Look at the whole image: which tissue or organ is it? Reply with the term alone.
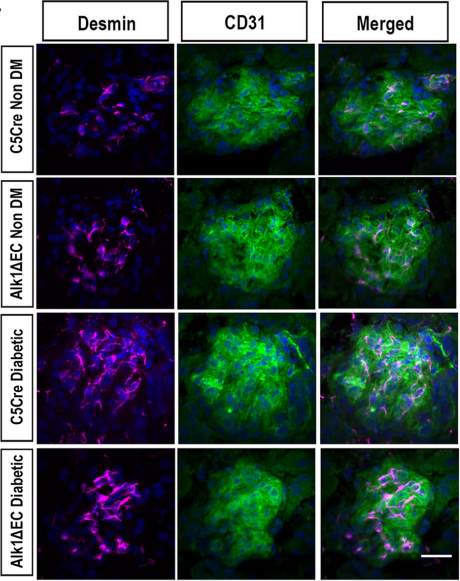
Glomeruli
